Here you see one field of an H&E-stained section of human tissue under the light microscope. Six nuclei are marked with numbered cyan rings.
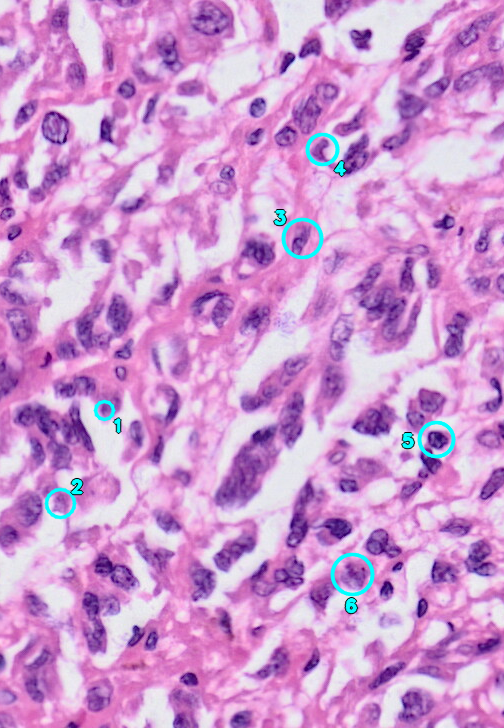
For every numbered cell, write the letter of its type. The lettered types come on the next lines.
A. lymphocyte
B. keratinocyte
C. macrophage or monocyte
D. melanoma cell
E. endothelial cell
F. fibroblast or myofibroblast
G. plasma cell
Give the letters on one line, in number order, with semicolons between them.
D; D; C; D; A; D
